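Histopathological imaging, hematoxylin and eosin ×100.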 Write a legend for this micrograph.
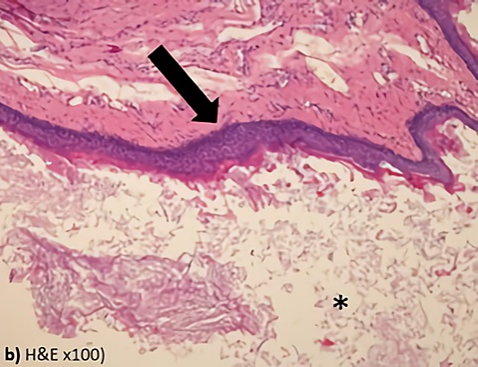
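The wall of an epidermoid cyst is lined by a stratified squamous epithelium, seen as a thin band of closely packed purple-stained cells. On the outer side lies pink fibrous connective tissue with scattered elongated nuclei and clefts.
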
